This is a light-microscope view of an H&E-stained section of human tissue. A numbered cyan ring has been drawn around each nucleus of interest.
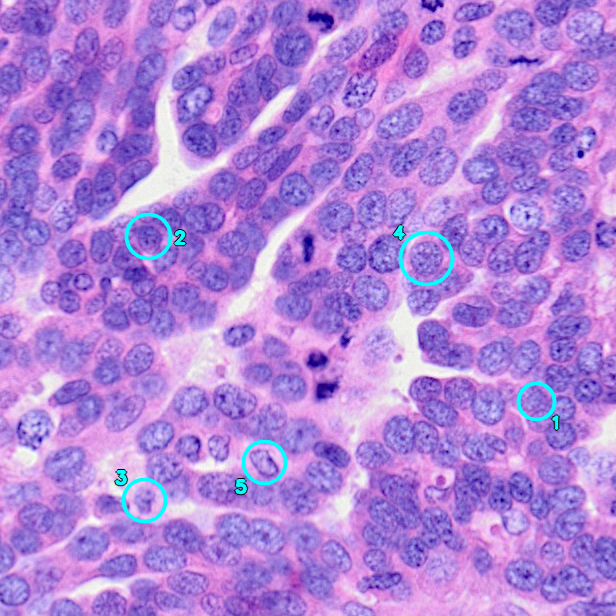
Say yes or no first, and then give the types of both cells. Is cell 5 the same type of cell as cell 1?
No, the cell numbered 5 is a macrophage or monocyte and the cell numbered 1 is a carcinoma cell.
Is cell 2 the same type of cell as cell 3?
No, the cell labelled 2 is a carcinoma cell; the cell labelled 3 is a macrophage or monocyte.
